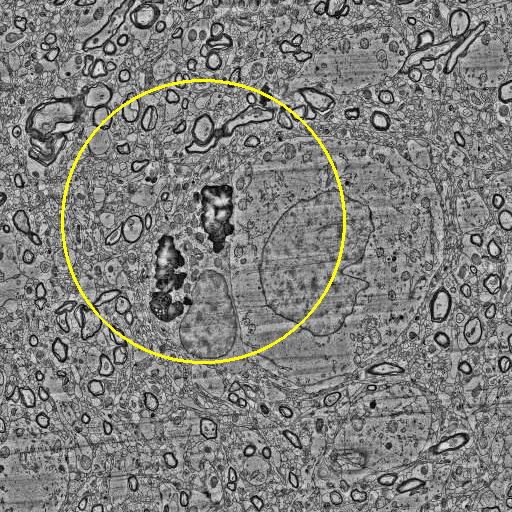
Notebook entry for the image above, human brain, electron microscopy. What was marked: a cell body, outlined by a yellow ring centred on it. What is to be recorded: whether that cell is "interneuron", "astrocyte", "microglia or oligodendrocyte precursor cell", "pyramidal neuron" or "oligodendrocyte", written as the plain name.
oligodendrocyte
